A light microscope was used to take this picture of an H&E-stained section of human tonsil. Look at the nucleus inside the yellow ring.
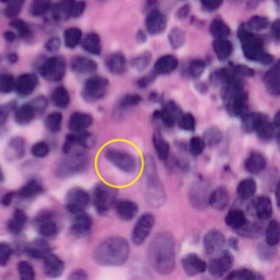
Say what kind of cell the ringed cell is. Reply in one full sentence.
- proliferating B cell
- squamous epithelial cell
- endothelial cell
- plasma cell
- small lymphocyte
For cell typing purposes, the ringed cell is an endothelial cell.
